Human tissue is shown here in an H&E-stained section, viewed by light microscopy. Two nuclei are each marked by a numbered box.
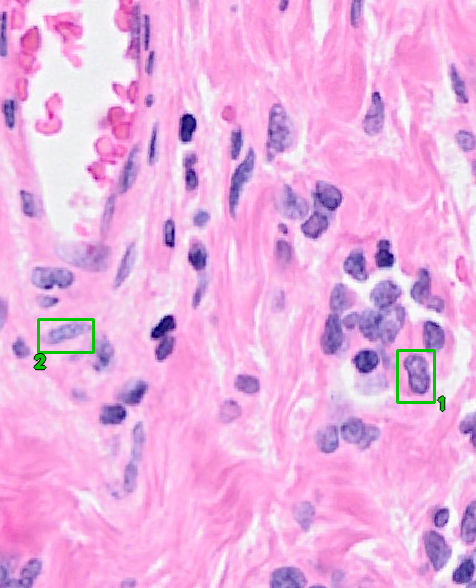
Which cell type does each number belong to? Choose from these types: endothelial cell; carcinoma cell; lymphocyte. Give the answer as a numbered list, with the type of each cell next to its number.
1. carcinoma cell
2. endothelial cell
